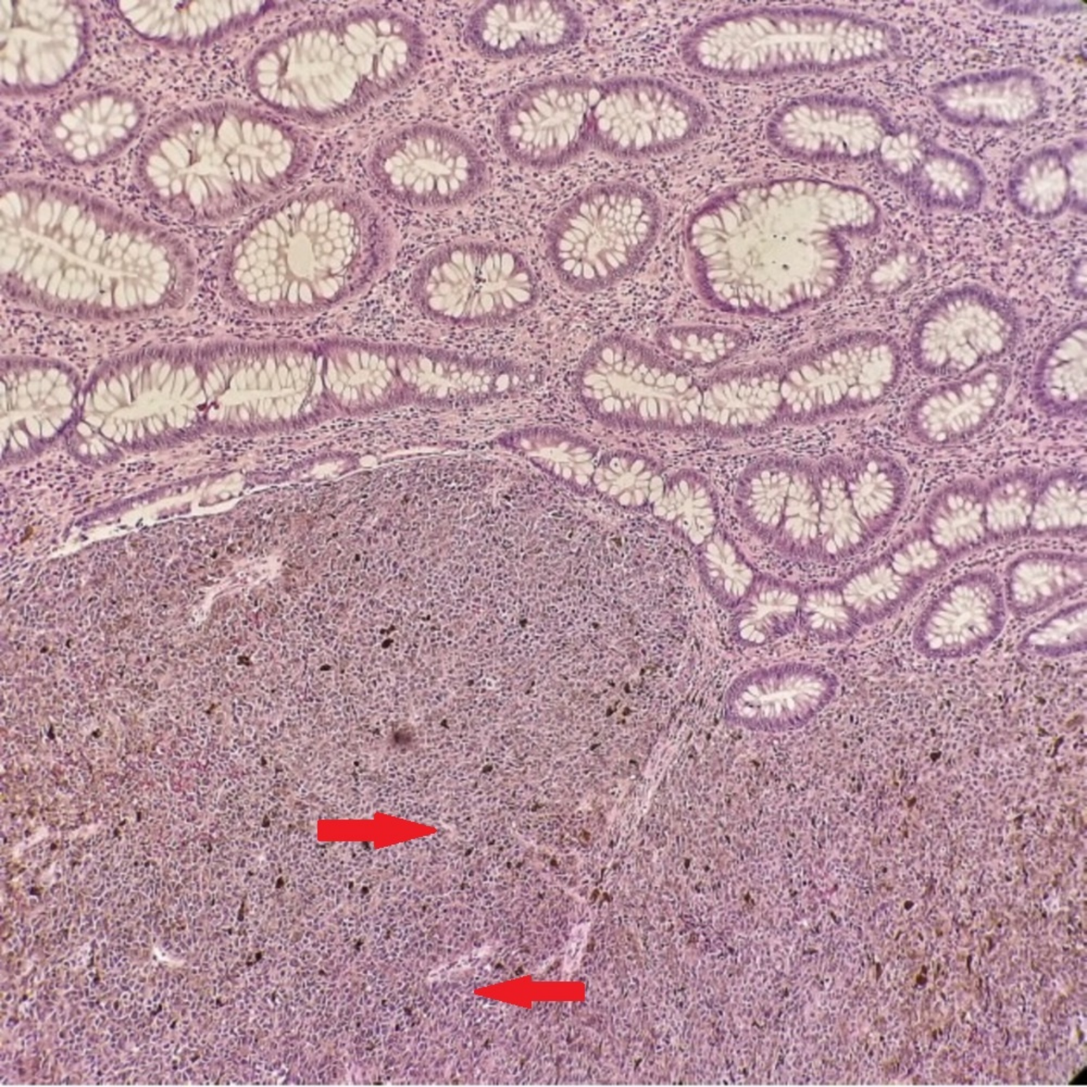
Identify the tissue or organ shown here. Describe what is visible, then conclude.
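The upper half shows round and elongated crypts cut in cross-section. The crypts are lined by columnar epithelium full of pale goblet cells. Lamina propria with scattered small cells lies between the crypts. On this evidence: Normal colonic mucosa.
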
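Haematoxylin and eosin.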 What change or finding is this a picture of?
Tumor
